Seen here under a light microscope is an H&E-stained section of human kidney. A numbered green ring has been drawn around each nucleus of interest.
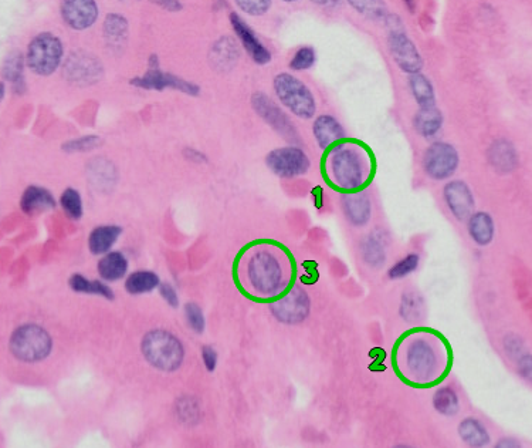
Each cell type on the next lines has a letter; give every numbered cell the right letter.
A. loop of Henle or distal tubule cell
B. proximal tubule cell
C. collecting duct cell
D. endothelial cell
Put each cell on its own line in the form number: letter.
1: C
2: C
3: B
